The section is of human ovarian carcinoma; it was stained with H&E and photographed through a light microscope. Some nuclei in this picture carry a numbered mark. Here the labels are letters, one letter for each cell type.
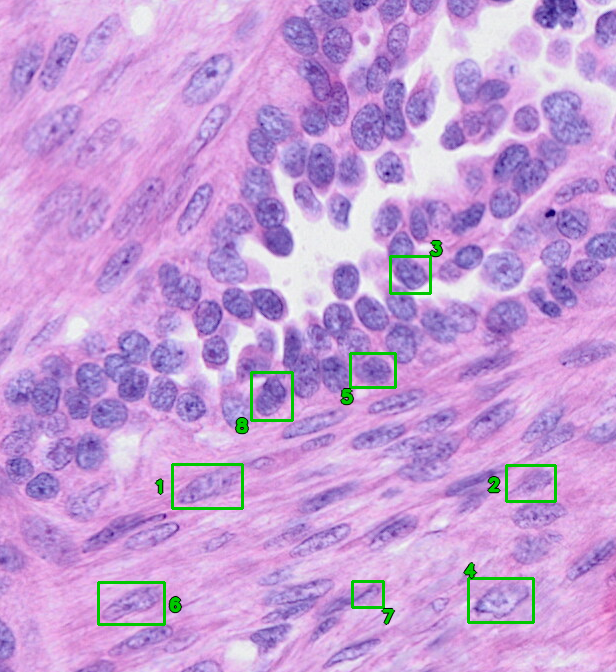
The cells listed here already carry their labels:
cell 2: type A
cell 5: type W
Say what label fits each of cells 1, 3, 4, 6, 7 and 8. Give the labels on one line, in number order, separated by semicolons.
type A; type W; type A; type A; type A; type W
